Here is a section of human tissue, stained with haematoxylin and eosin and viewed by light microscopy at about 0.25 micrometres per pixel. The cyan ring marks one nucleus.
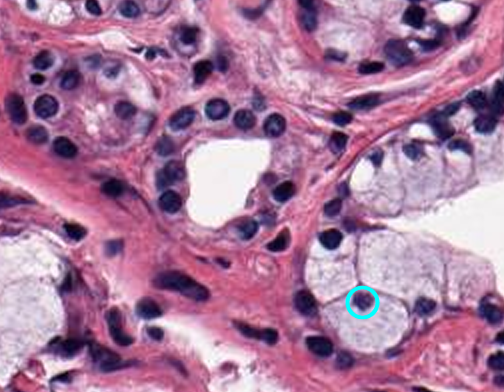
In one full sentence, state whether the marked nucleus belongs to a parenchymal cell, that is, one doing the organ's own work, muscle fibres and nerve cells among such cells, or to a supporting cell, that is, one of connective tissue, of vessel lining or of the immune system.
It is the nucleus of a mucous gland cell, a parenchymal cell, that is marked.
